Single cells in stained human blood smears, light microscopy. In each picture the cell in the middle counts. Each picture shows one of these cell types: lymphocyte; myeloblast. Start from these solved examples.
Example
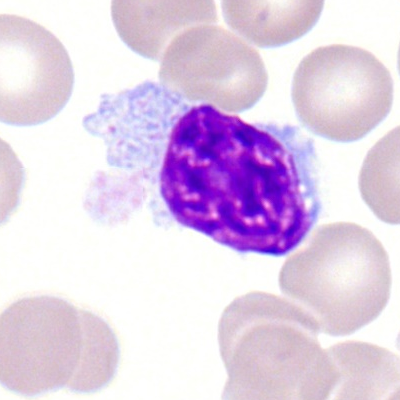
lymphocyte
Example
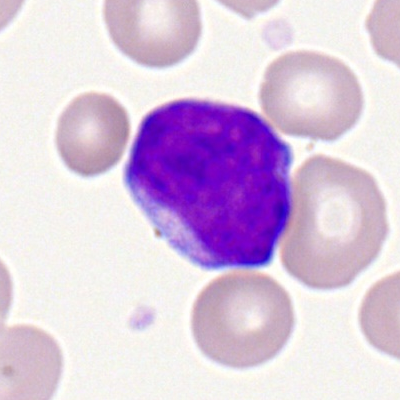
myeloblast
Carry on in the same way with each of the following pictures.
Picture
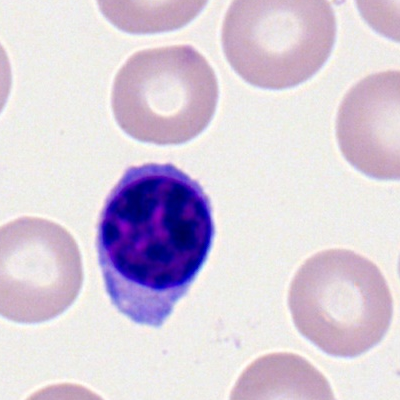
lymphocyte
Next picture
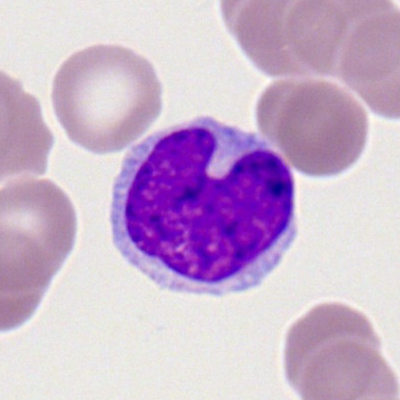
lymphocyte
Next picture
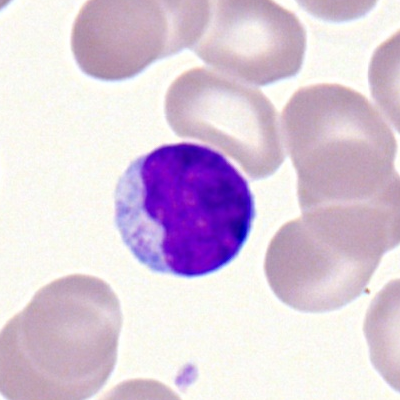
lymphocyte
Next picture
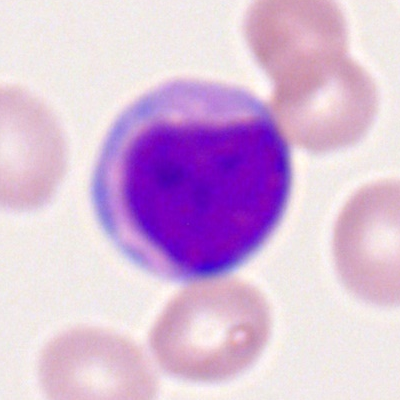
myeloblast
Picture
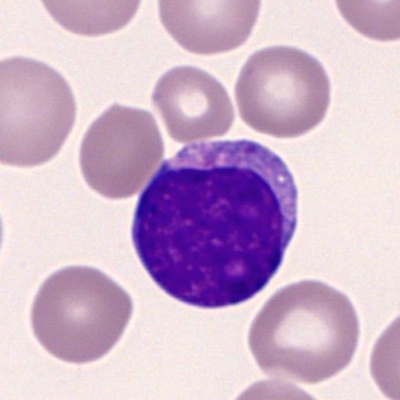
myeloblast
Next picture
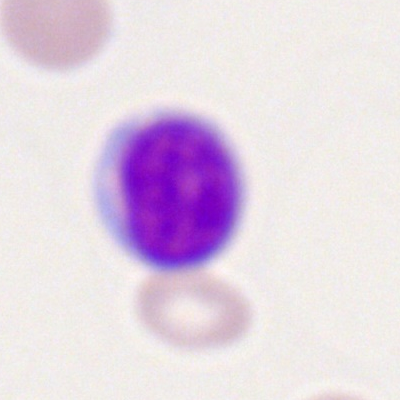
lymphocyte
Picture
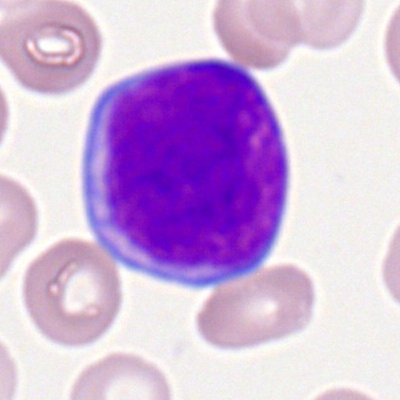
myeloblast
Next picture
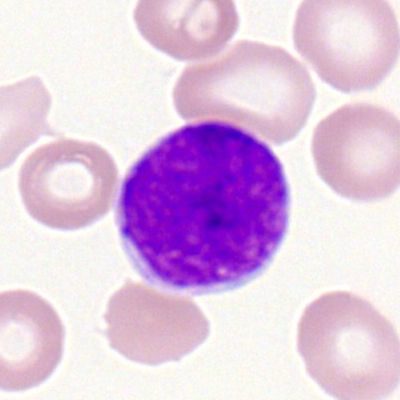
myeloblast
